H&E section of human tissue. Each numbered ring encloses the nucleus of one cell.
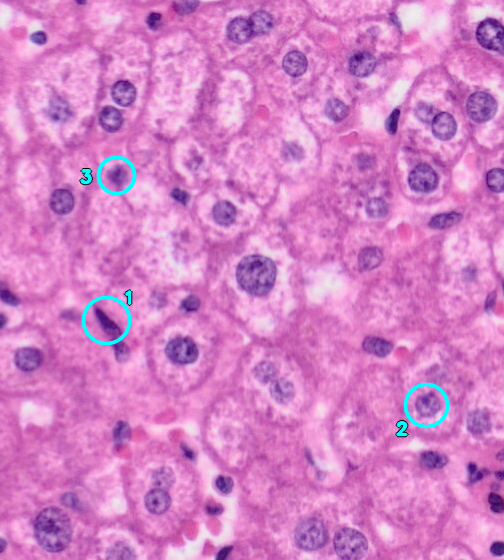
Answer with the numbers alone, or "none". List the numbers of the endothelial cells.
3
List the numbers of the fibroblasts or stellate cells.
1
